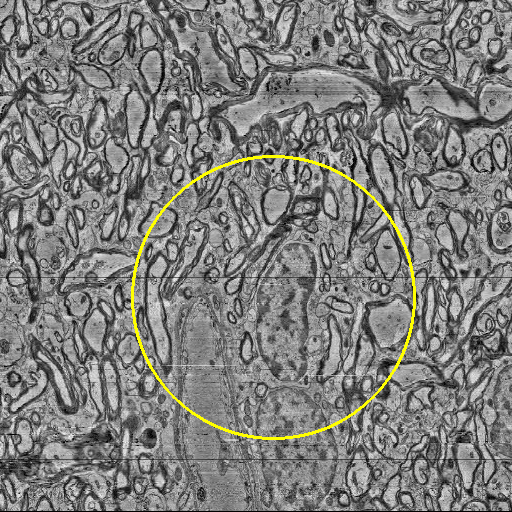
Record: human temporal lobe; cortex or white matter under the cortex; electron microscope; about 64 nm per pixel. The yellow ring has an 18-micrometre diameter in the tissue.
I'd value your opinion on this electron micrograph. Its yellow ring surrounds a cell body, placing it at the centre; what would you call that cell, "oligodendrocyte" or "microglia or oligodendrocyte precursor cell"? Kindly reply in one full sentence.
It is a microglial cell or oligodendrocyte precursor cell that sits centred within the yellow ring in this micrograph.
